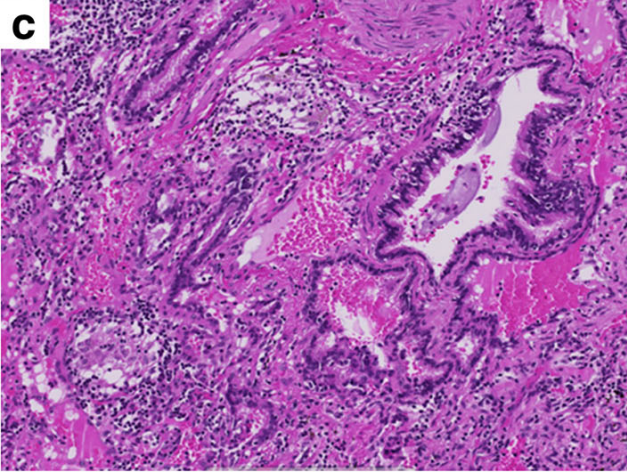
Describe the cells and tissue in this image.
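This is lung tissue showing peribronchiolar fibrosis, with small airways set in dense scarred tissue. The airways are lined by a tall epithelium with crowded dark nuclei, and their lumens are irregular and folded. The tissue between them is pink and fibrous, scattered with small dark inflammatory cells and patches of red blood cells. Normal thin-walled alveoli are not seen around these airways.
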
